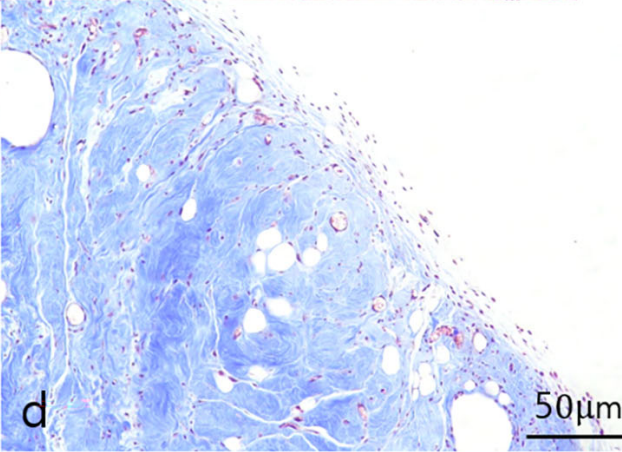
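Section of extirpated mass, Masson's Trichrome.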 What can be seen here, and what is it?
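Dense collagenous fibrous tissue fills most of the field, stained blue, with wavy and whorled fibre bundles of deeper and paler blue. Scattered elongated spindle-shaped nuclei, stained dark red, lie among the fibres, and small vessels with red-stained walls are present. Only a few small clear round vacuoles, remnants of fat cells, interrupt the blue matrix, with a larger one at the upper left. Along the upper right border a thin, paler band of loosely arranged fibres with flattened nuclei lines the edge of the tissue like a capsule.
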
